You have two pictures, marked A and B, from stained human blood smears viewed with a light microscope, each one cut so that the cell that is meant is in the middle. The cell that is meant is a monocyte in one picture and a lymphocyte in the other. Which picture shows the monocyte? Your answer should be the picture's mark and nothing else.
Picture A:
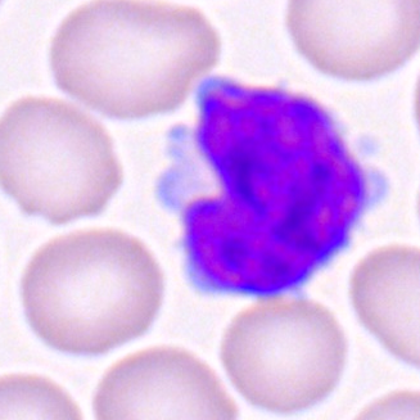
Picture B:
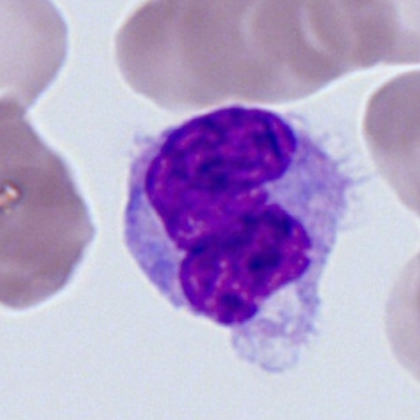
B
